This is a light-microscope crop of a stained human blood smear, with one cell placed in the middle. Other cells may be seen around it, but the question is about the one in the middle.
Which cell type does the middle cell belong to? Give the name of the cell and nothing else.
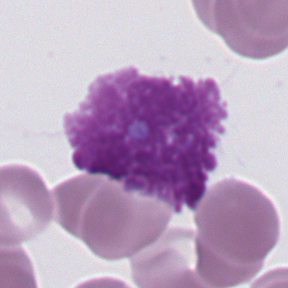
smudge cell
